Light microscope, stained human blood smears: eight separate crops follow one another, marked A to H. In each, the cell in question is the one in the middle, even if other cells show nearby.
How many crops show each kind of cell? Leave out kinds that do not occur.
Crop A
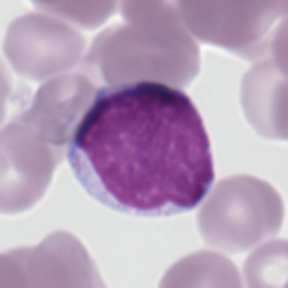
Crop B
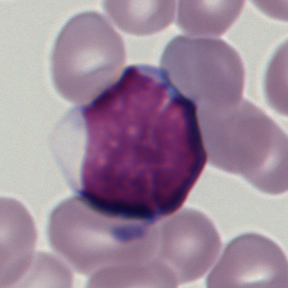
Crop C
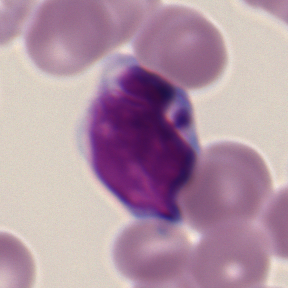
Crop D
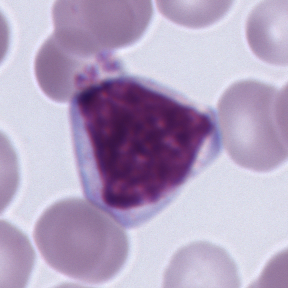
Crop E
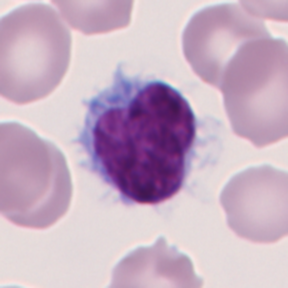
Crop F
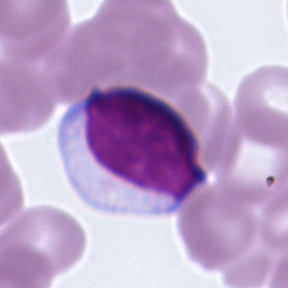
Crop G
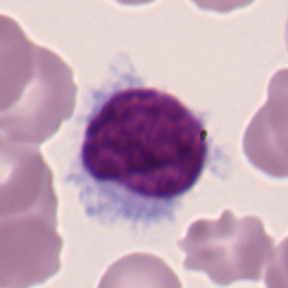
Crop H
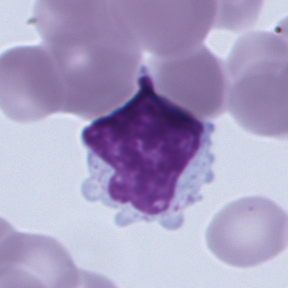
large granular lymphocyte: 6
hairy cell: 2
